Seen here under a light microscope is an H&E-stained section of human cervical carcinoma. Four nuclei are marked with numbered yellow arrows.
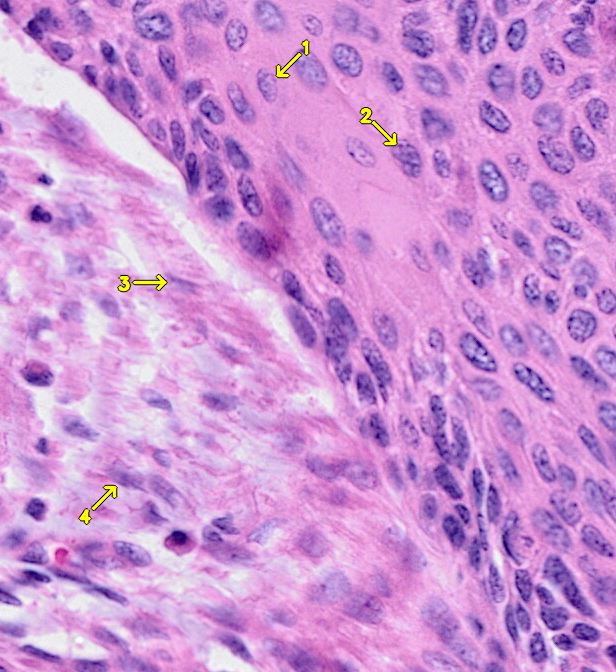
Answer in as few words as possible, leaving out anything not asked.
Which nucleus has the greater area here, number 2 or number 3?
2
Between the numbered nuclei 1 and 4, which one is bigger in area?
4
